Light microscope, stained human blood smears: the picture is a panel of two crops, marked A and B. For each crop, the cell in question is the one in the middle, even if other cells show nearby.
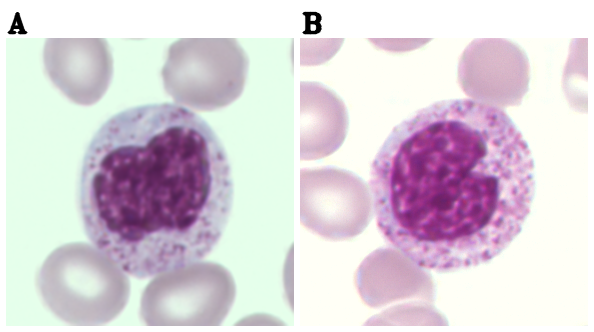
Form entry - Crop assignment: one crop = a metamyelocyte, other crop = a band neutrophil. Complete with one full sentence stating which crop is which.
Identified in crop A is a metamyelocyte, with a band neutrophil identified in crop B.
